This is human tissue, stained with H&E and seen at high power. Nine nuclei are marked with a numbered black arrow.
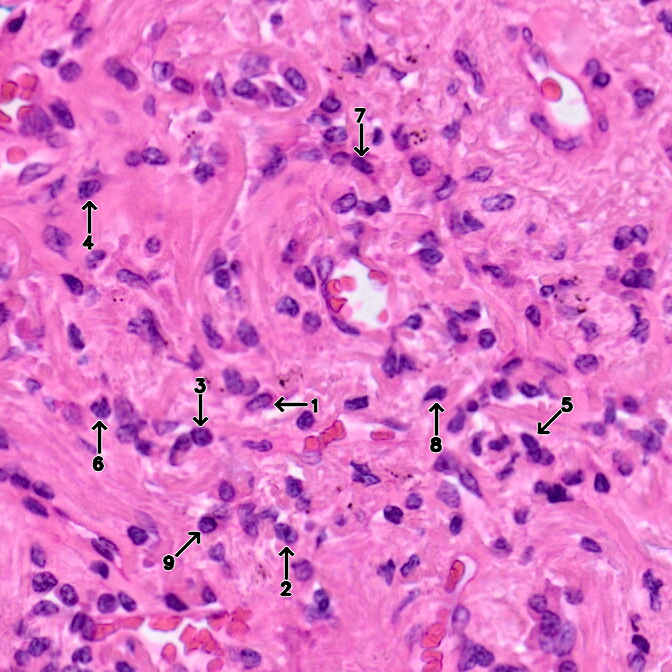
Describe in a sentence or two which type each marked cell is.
Cell 1 is a plasma cell, cell 2 is a lymphocyte, cell 3 is a lymphocyte, cell 4 is a plasma cell, cell 5 is a lymphocyte, cell 6 is a lymphocyte, cell 7 is a plasma cell, cell 8 is a lymphocyte and cell 9 is a plasma cell.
